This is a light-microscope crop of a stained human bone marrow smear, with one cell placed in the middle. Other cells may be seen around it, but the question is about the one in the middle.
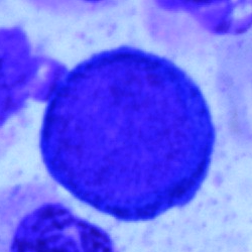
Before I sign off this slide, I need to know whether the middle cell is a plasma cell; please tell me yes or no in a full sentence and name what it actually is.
No, it is a proerythroblast that sits in the middle, not a plasma cell.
